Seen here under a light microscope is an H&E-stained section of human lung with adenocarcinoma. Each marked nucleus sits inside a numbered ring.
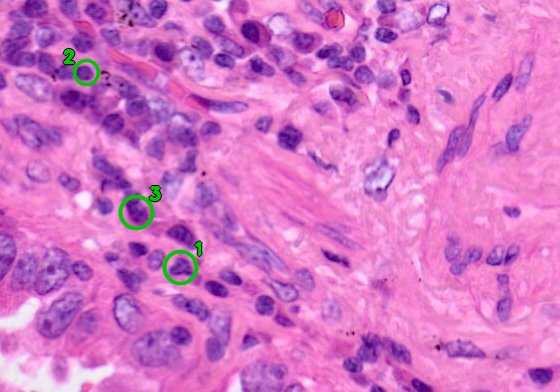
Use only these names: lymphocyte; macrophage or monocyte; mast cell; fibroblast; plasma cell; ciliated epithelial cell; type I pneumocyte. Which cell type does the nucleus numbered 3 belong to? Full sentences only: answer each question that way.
The cell assigned the number 3 is a plasma cell.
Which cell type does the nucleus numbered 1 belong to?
Identified by the number 1, the cell is a plasma cell.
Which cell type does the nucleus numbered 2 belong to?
The cell pointed out as number 2 is a lymphocyte.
